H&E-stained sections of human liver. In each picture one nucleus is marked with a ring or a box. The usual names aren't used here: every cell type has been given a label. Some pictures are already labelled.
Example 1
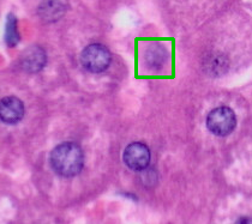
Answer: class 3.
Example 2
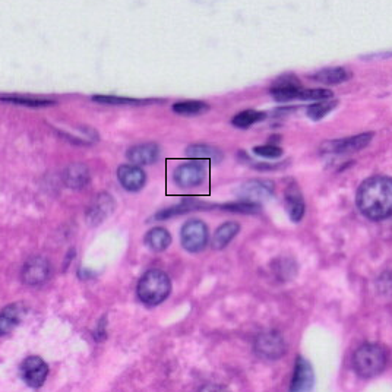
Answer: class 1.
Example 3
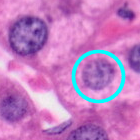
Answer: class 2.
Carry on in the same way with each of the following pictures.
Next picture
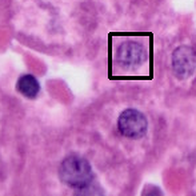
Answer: class 2.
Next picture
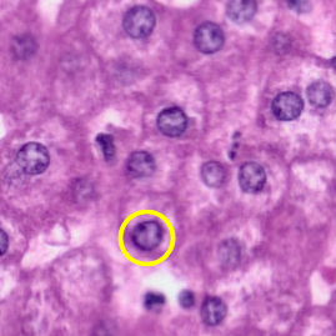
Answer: class 2.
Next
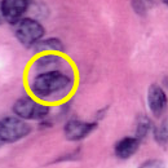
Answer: class 1.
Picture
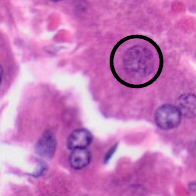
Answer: class 2.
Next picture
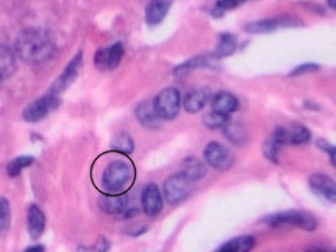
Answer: class 1.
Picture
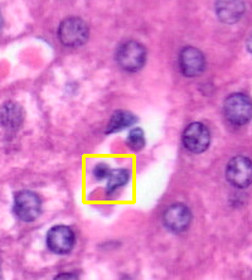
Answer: class 3.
